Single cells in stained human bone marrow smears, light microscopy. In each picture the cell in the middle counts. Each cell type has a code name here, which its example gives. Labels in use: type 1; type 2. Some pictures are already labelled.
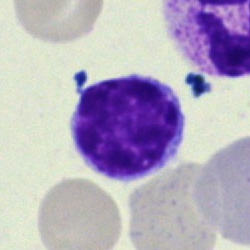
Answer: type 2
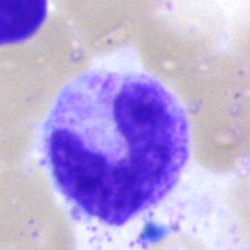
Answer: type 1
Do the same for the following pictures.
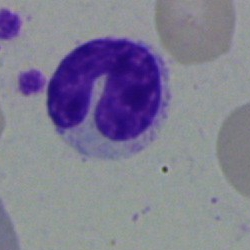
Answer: type 1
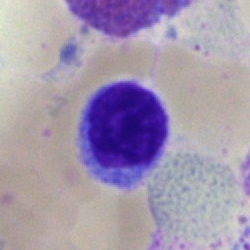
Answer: type 2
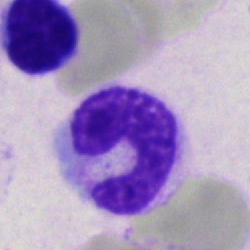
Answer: type 1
